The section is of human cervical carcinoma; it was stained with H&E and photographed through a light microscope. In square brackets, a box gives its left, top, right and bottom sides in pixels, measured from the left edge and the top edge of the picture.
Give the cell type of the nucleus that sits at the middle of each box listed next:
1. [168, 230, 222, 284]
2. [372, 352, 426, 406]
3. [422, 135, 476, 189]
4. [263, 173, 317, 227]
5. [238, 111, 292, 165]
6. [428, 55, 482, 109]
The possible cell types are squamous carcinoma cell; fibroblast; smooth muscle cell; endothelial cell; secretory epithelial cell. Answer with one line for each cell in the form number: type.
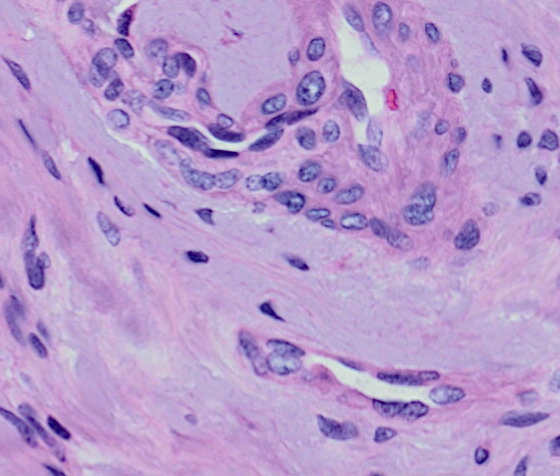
1: fibroblast
2: endothelial cell
3: smooth muscle cell
4: smooth muscle cell
5: endothelial cell
6: smooth muscle cell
